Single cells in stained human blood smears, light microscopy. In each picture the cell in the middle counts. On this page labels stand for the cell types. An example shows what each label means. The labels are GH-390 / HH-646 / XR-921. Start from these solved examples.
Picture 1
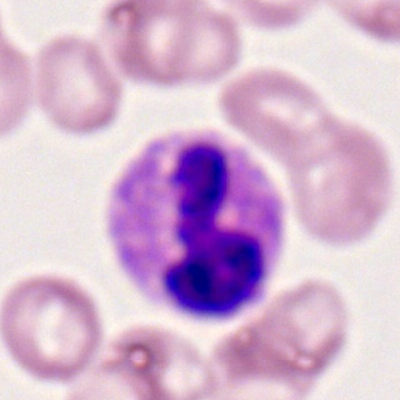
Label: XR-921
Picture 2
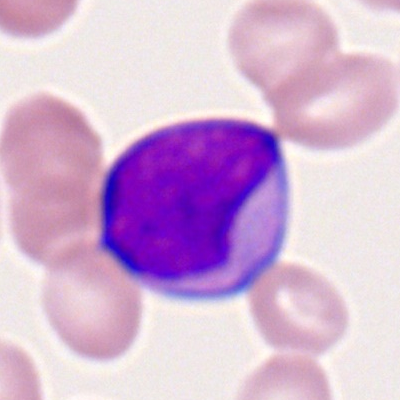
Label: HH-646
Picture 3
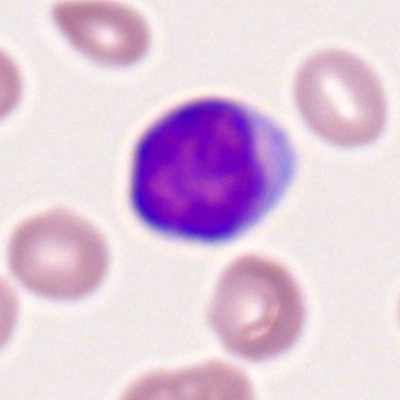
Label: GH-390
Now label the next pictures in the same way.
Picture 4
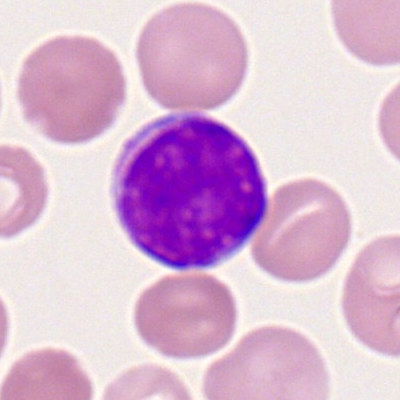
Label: GH-390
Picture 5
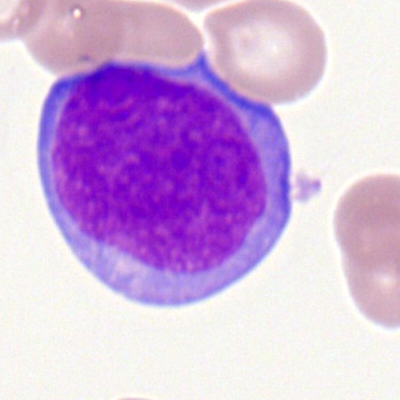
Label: HH-646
